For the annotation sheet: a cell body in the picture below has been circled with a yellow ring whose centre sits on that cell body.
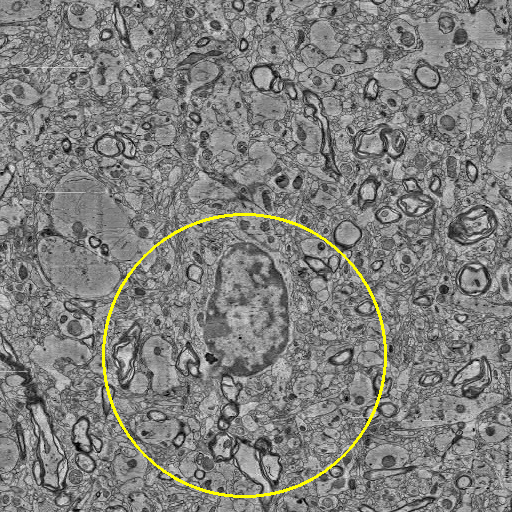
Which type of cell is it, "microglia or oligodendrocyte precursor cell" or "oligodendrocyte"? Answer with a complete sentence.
The circled cell is a microglial cell or oligodendrocyte precursor cell.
